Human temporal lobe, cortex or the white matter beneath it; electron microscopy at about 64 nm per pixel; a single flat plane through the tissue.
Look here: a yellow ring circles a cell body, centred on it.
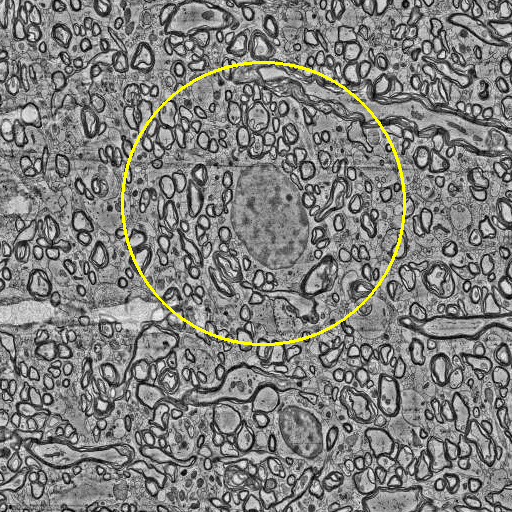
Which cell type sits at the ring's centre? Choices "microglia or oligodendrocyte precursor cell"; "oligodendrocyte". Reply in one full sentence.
The cell at the centre of the yellow ring in the picture is an oligodendrocyte.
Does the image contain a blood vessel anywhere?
No, a blood vessel is absent from this picture.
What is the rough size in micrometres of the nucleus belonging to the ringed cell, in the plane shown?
In this plane, the nucleus of the cell at the centre of the ring measures about 7 by 5 micrometres.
